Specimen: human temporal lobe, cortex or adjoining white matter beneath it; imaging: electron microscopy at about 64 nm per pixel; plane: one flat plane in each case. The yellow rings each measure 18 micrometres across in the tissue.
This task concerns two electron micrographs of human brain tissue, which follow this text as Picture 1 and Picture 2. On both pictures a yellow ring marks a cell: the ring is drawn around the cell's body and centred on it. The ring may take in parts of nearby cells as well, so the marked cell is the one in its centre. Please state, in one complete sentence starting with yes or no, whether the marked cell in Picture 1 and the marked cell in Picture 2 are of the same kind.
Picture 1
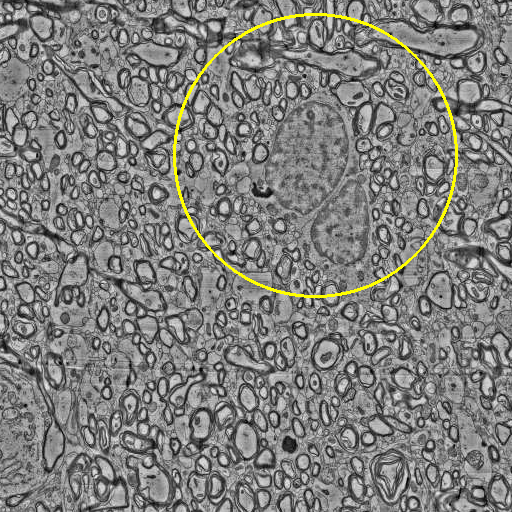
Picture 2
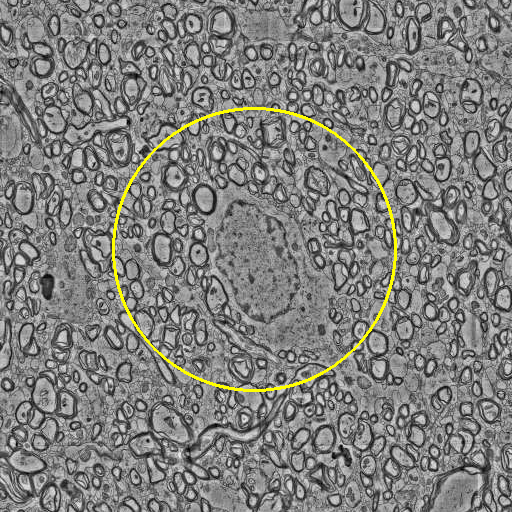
No, the marked cells in the two pictures are of two kinds.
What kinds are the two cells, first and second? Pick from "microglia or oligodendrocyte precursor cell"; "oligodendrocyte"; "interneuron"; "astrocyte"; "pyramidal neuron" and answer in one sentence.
The second picture holds an astrocyte in its ring, and the first holds an oligodendrocyte.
